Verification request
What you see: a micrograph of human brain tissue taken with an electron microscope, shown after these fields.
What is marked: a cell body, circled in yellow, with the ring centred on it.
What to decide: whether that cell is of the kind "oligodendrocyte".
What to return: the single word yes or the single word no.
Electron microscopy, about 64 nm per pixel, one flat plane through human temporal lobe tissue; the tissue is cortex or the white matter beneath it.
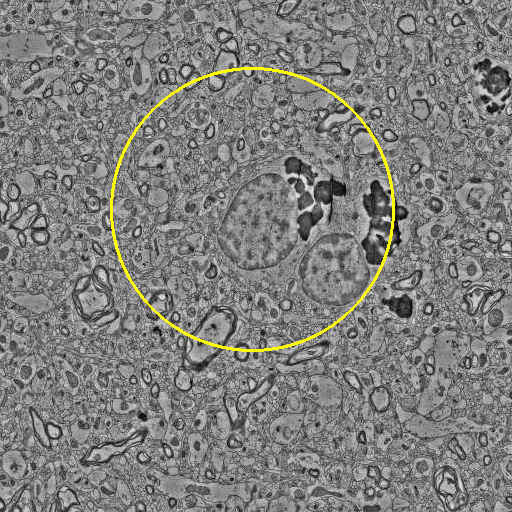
yes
